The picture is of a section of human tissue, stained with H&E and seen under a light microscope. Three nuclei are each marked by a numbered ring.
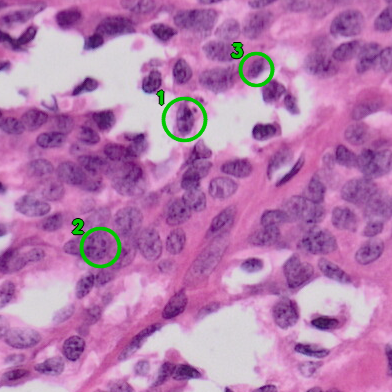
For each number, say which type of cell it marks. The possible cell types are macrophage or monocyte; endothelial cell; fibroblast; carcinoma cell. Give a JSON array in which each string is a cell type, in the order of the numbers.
["macrophage or monocyte", "carcinoma cell", "carcinoma cell"]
